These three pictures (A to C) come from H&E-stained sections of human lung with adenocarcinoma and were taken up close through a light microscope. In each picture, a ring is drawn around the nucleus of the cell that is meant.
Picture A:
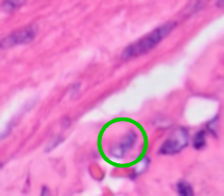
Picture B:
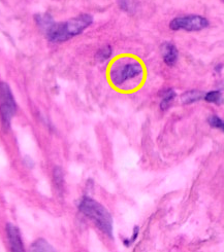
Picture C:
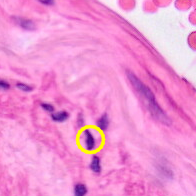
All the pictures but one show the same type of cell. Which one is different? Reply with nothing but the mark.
A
